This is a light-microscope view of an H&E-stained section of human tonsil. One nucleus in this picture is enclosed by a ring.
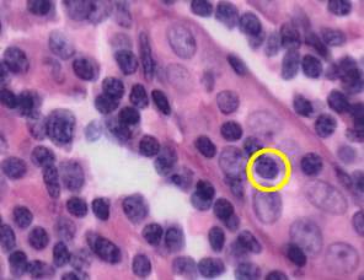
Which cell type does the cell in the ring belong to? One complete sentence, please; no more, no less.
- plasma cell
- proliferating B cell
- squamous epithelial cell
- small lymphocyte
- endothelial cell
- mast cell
By its classification, the cell in the ring is an endothelial cell.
